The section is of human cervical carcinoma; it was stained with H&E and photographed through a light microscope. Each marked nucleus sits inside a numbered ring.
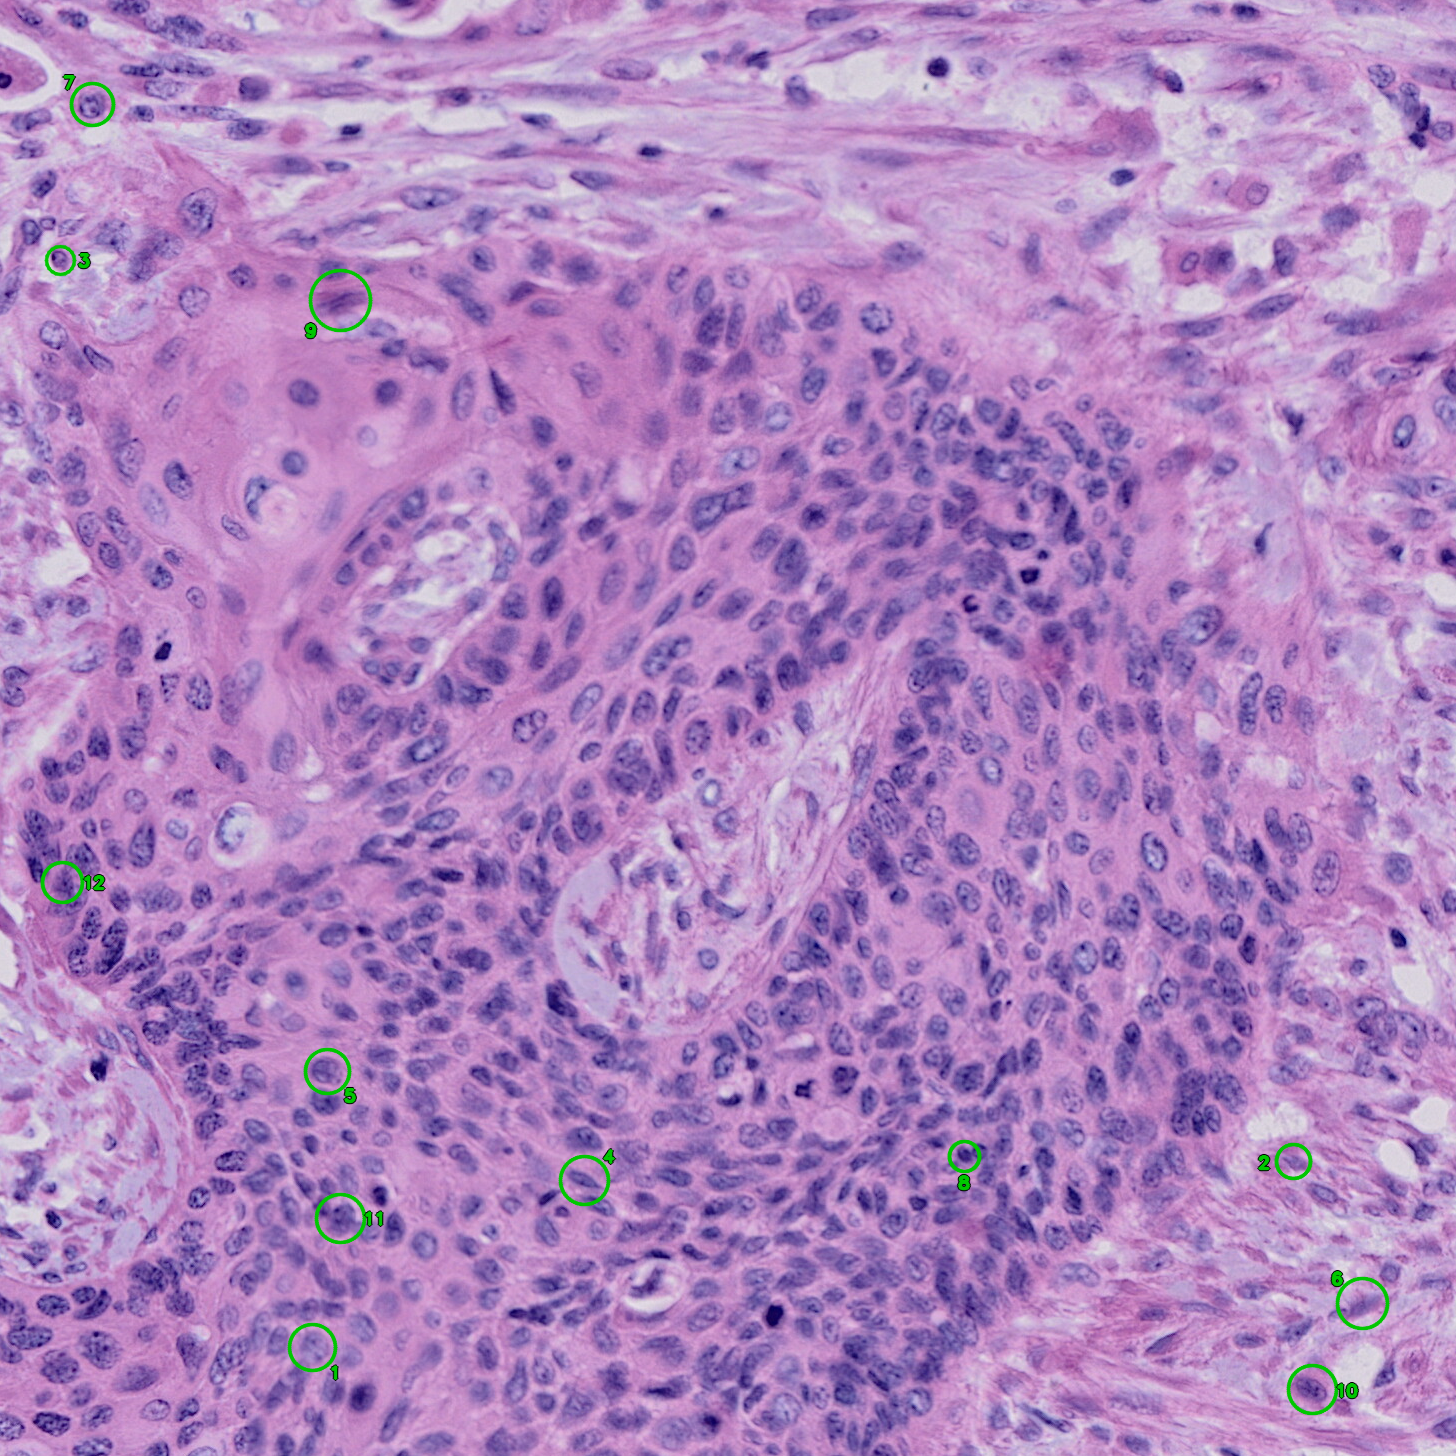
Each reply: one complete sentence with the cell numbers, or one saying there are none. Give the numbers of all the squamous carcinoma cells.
Each of the cells numbered 1, 4, 5, 8, 9, 11 and 12 is among the squamous carcinoma cells.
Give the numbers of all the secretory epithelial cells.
Between them, the numbered cells include no secretory epithelial cells.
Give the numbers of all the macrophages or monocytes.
Within the section, cells numbered 3, 7 and 10 are macrophages or monocytes.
